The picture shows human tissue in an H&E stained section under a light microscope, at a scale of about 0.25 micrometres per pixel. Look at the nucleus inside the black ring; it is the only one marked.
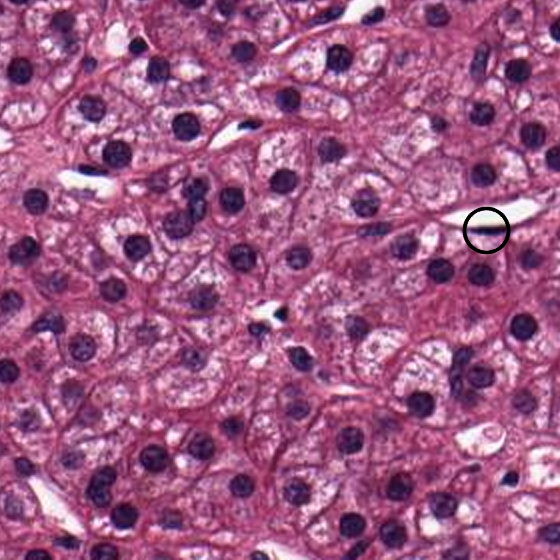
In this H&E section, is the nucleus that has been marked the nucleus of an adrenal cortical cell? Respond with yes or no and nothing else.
no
